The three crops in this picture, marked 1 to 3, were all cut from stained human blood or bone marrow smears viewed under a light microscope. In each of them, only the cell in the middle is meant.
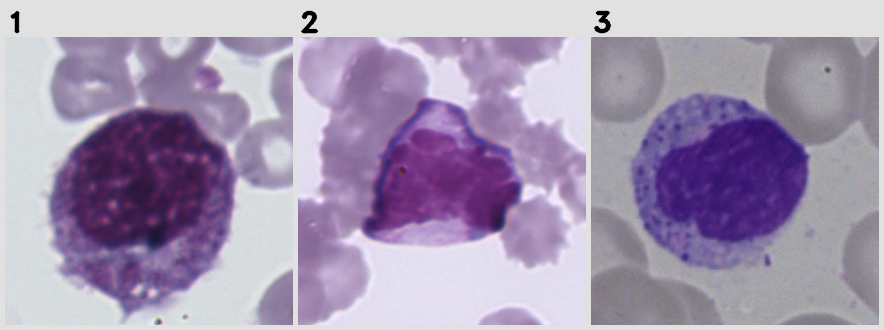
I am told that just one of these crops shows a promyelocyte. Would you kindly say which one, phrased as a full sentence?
Here the crop that shows a promyelocyte is crop 1.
